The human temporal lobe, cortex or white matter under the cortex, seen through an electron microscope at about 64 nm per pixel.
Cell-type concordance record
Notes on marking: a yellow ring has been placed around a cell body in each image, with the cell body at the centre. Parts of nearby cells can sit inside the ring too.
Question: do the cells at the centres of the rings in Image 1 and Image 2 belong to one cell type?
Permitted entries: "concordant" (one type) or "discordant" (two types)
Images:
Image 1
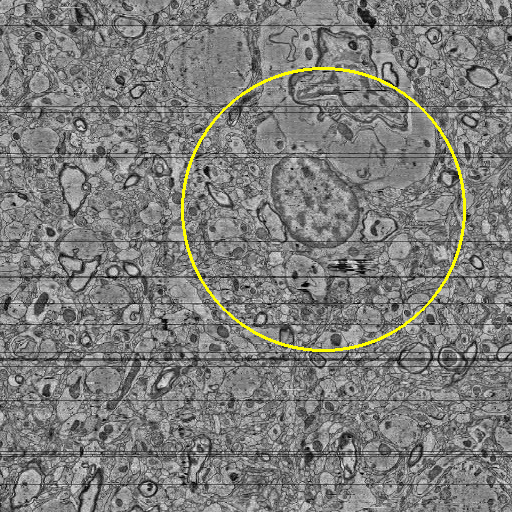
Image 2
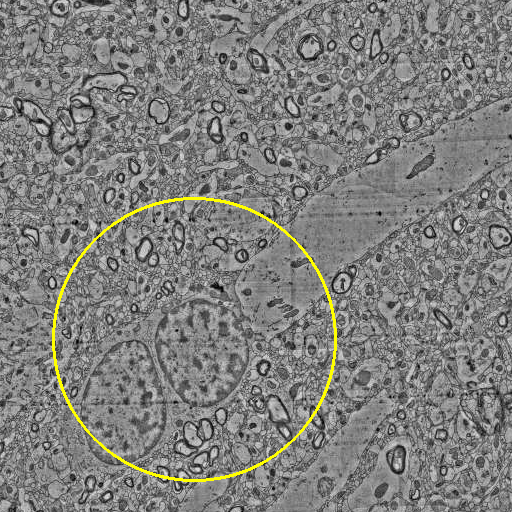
concordant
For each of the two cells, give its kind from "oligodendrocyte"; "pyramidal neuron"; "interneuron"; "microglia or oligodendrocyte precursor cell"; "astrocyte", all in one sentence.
In each picture the ringed cell is an oligodendrocyte.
